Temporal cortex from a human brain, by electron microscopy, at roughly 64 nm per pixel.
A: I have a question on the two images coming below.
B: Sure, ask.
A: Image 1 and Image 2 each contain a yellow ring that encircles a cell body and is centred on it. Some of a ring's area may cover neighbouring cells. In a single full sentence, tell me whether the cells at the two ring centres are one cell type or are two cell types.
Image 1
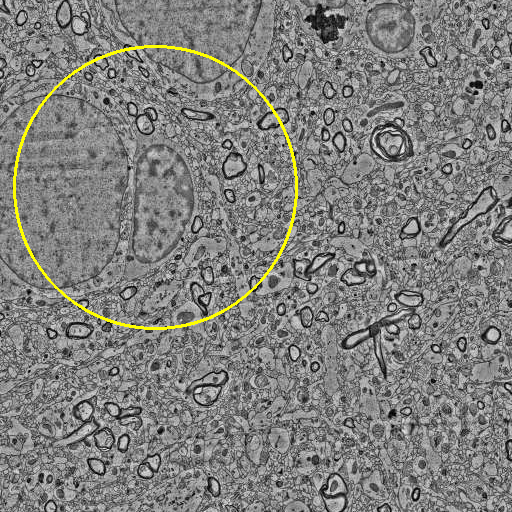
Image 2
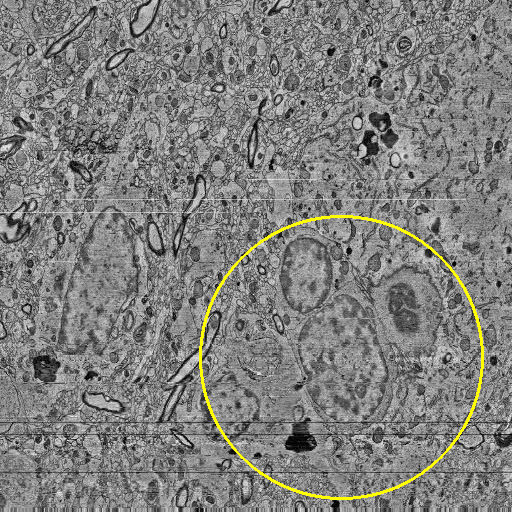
As for the ring-centre cells, the one in Image 1 and the one in Image 2 are one cell type.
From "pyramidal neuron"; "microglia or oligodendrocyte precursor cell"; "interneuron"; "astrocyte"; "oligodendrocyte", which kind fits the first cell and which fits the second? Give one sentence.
Each of the two rings surrounds an oligodendrocyte.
